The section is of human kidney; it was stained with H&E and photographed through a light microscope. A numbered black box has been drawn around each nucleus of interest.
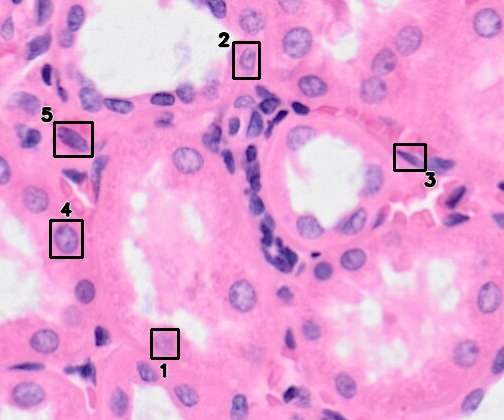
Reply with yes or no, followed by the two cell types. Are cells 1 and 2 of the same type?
No, cell 1 is a proximal tubule cell, while a loop of Henle or distal tubule cell is what cell 2 is.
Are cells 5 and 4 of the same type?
No, that does not hold; cell 5 is an endothelial cell and cell 4 is a proximal tubule cell.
